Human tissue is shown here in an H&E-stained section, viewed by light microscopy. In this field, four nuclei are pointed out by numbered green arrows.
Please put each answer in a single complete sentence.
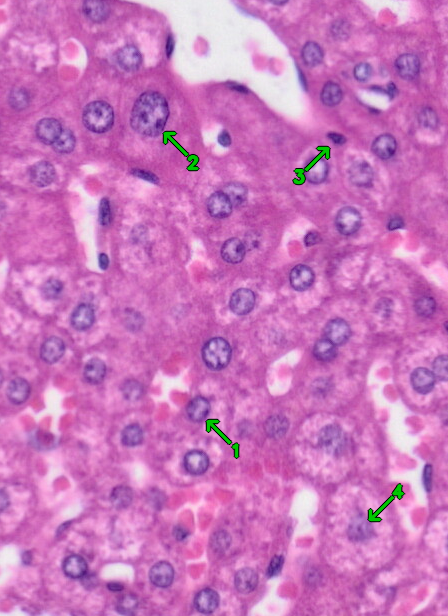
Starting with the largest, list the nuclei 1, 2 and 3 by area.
Going from the biggest nucleus down to the smallest gives 2, 1, 3.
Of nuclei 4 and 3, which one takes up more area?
Nucleus 4 covers more area, about 3 times as much as nucleus 3.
